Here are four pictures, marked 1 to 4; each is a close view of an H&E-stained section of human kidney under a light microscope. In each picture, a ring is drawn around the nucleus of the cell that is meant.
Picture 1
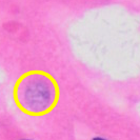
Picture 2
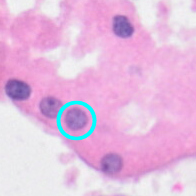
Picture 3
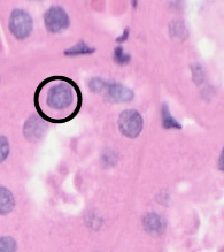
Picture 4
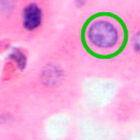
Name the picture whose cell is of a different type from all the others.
3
